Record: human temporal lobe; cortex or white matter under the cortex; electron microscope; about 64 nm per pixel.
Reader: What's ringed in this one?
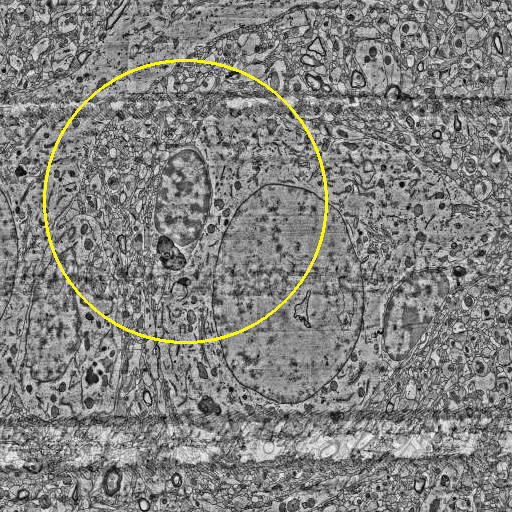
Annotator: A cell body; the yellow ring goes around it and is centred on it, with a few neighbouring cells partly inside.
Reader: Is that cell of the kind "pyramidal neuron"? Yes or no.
no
